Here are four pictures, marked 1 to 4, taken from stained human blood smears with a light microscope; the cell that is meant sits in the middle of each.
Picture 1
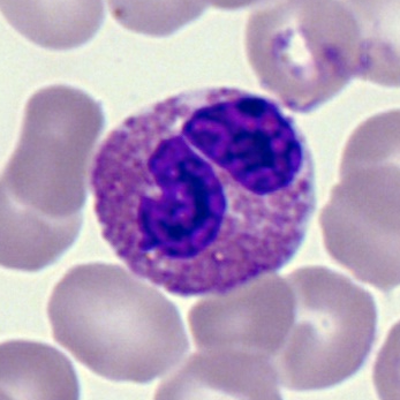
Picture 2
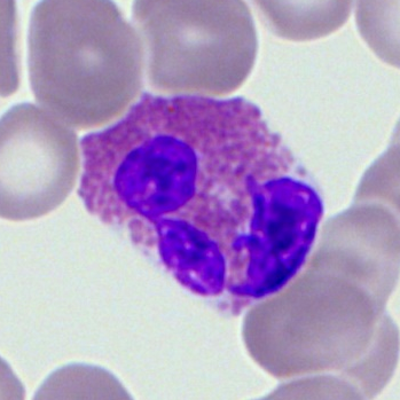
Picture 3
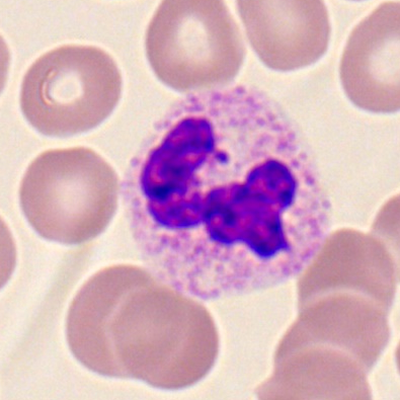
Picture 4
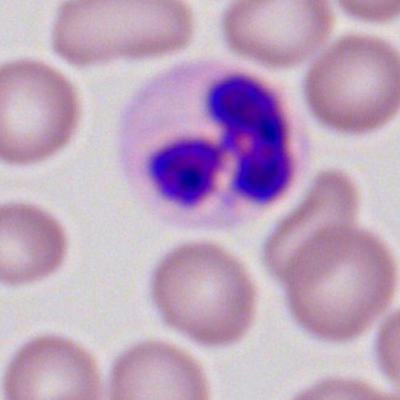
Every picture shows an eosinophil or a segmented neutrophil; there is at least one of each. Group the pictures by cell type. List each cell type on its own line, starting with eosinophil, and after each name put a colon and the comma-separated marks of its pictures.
eosinophil: 1, 2
segmented neutrophil: 3, 4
